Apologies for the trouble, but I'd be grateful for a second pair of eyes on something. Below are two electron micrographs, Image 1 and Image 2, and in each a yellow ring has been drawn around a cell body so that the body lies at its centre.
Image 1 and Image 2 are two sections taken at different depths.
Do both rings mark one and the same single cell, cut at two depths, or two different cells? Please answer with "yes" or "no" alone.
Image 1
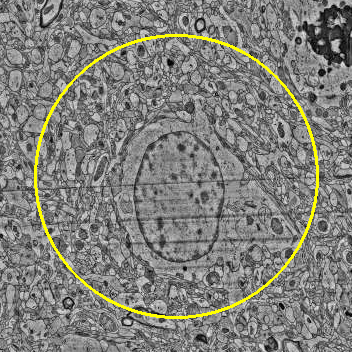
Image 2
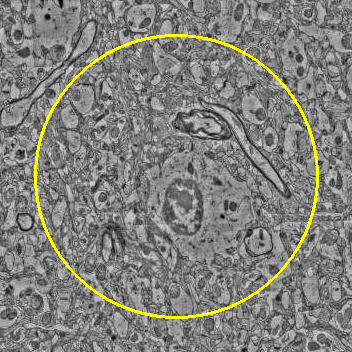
no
